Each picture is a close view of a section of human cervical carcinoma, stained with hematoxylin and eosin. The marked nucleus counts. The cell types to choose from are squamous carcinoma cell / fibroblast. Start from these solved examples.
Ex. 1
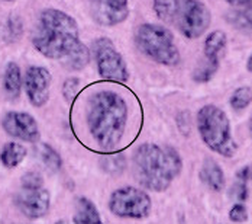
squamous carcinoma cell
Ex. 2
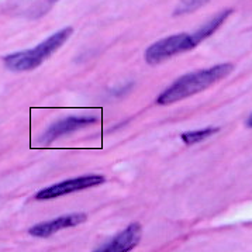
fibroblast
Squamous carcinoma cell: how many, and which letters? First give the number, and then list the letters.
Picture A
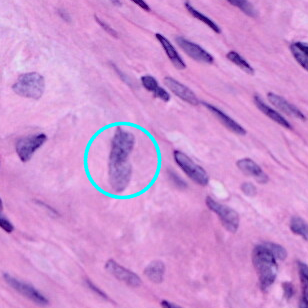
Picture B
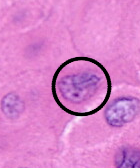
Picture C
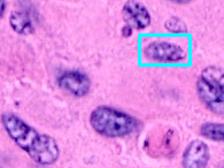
2: B, C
